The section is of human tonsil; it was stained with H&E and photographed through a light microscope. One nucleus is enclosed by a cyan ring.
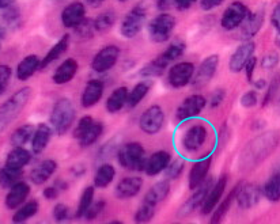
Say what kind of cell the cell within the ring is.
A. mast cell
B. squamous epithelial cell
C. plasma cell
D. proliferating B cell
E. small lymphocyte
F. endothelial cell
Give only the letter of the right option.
C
